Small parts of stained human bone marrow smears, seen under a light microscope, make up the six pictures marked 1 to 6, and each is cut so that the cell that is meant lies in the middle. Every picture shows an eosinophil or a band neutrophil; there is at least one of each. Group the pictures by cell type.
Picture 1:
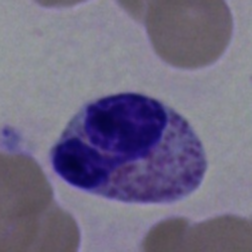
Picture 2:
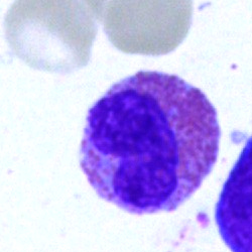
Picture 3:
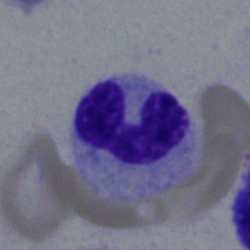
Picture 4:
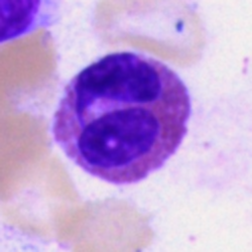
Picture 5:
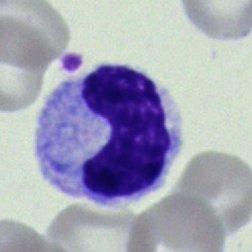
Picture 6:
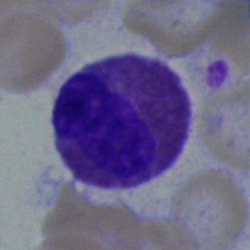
1: eosinophil
2: eosinophil
3: band neutrophil
4: eosinophil
5: band neutrophil
6: eosinophil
